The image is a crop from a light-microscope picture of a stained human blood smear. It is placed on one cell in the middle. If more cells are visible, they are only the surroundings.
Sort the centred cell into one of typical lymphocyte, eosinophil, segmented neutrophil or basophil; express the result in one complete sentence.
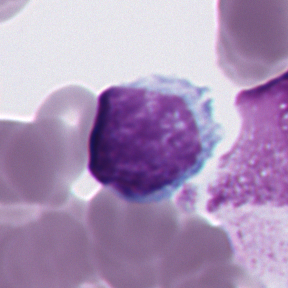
The cell around which this crop is centred is a typical lymphocyte.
